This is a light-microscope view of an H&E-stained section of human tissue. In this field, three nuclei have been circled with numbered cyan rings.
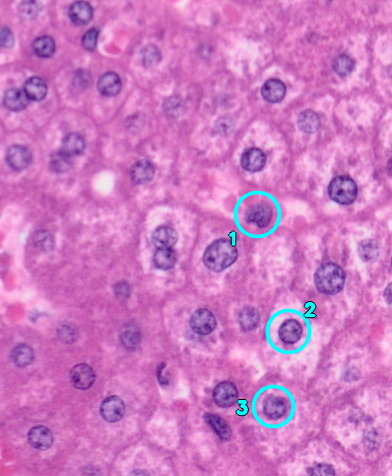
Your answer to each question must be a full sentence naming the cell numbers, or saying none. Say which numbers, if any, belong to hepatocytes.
Regarding the numbered cells 2 and 3, these are hepatocytes.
